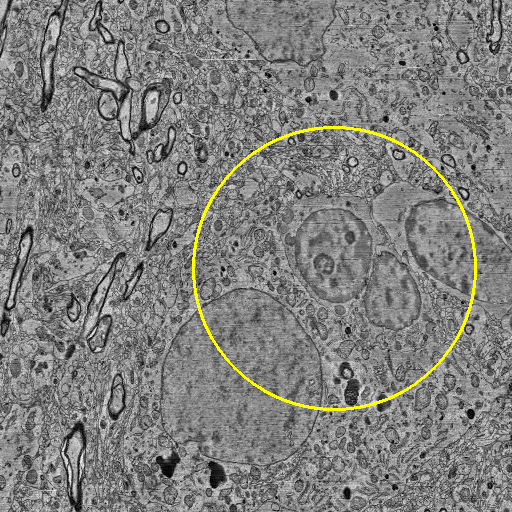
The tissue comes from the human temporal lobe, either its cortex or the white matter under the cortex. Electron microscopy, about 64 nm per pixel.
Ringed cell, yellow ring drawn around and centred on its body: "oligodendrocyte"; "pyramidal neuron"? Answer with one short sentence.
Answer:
This ringed cell is an oligodendrocyte.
